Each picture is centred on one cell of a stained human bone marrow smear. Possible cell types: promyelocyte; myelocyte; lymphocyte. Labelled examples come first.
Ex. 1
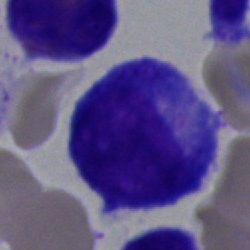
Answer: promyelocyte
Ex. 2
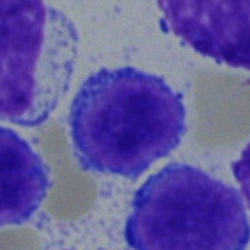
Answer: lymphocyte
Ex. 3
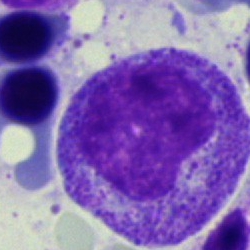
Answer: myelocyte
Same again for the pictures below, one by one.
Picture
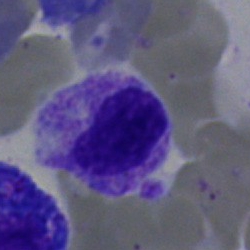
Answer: myelocyte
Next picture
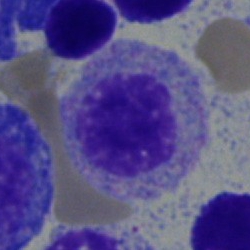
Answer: myelocyte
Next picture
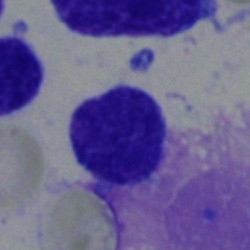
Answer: lymphocyte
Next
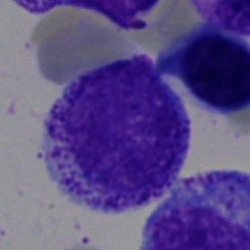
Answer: myelocyte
